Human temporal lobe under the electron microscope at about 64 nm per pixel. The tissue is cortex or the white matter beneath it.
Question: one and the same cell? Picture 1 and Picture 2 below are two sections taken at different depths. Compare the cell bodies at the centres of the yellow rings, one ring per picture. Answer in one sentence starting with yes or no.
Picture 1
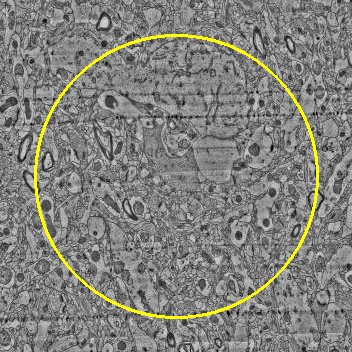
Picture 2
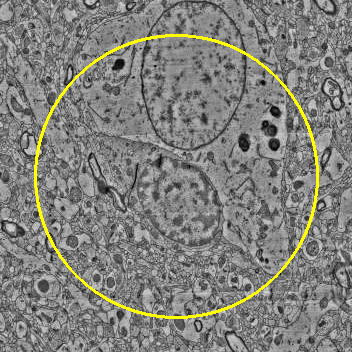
Yes, a single cell is marked twice, once by each yellow ring.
